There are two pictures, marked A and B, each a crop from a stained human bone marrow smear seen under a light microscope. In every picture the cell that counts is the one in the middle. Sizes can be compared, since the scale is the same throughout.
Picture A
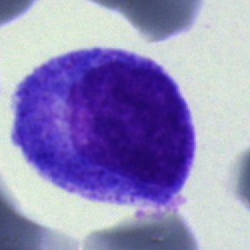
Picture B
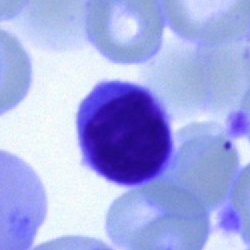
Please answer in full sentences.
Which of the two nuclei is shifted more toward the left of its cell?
The nucleus in picture B lies further toward the left of its cell.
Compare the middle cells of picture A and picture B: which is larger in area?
The cell in picture A is larger, with about 2.5 times the area of the one in picture B.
